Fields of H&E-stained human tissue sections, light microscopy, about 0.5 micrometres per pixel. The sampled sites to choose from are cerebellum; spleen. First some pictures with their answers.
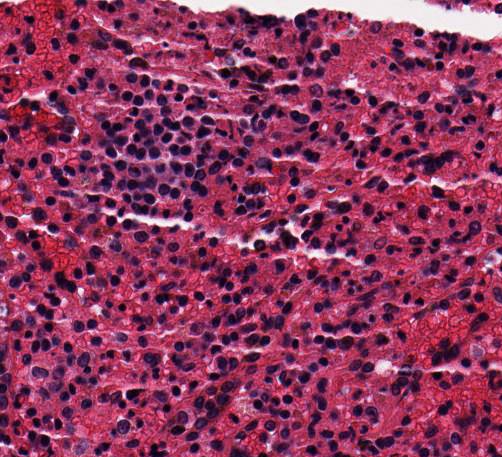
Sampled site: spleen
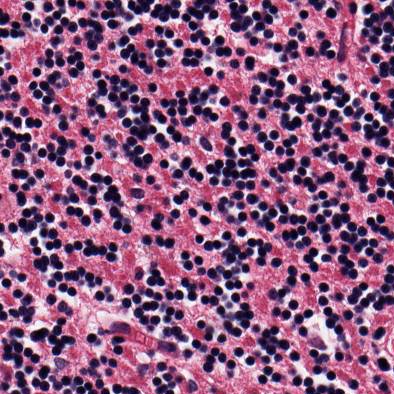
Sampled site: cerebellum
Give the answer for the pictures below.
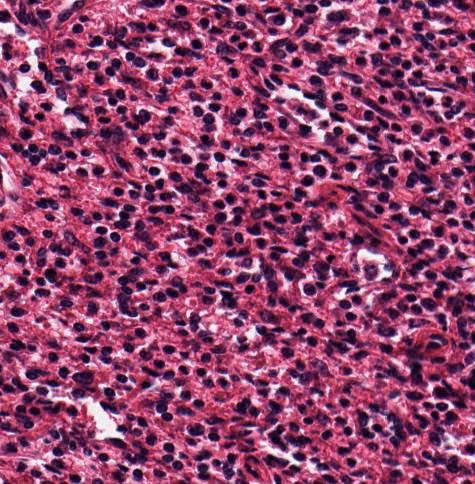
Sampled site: spleen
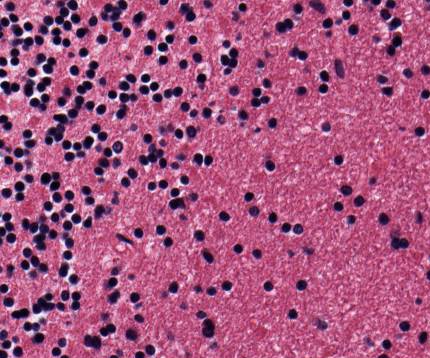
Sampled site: cerebellum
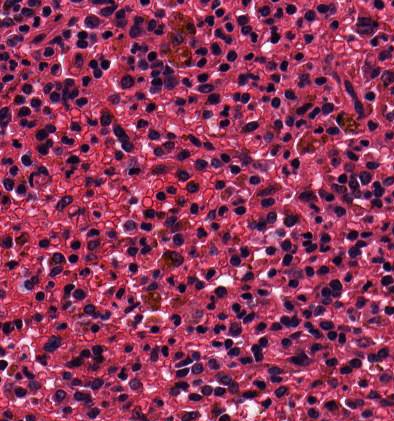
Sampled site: spleen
